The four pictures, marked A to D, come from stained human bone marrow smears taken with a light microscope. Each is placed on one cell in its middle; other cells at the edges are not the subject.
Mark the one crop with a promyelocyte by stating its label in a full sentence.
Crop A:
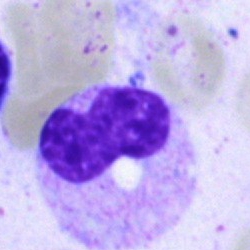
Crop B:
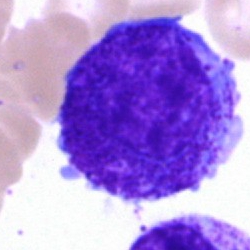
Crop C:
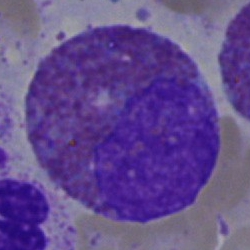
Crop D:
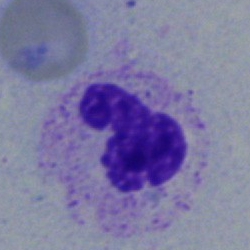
Of all the crops, crop B is the one showing a promyelocyte.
